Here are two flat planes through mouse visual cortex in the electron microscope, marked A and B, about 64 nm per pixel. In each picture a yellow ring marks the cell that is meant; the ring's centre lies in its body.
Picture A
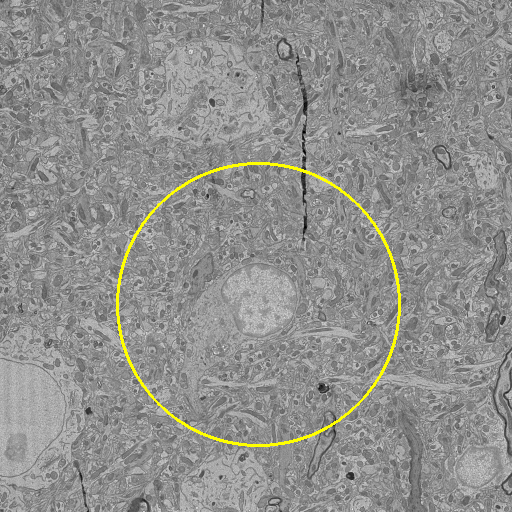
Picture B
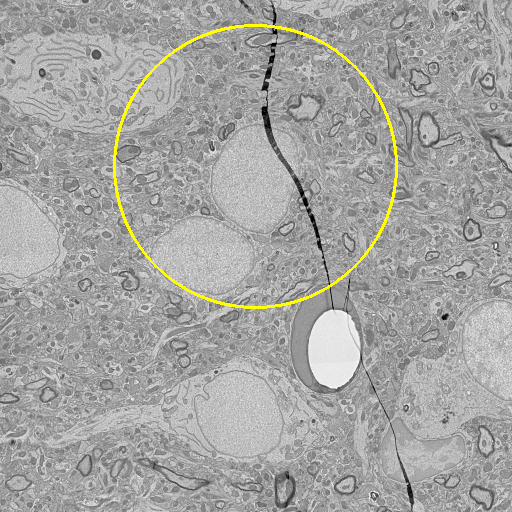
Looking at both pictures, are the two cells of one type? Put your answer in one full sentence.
No, picture A shows an oligodendrocyte and picture B shows an astrocyte.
